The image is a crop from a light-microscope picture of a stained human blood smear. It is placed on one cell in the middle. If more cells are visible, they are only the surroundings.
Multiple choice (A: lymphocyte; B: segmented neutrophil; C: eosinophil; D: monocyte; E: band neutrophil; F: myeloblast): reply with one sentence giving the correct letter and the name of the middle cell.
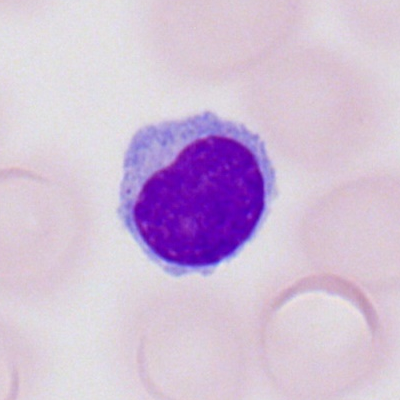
The correct option here is A; the middle cell is a lymphocyte.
